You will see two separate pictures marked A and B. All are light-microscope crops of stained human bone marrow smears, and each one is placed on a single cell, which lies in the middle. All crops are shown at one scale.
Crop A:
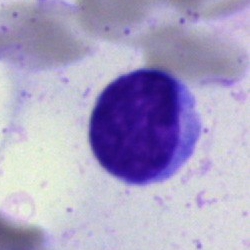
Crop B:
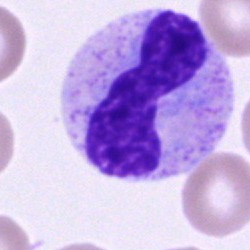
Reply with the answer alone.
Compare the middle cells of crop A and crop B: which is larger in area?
B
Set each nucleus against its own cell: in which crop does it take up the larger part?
A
